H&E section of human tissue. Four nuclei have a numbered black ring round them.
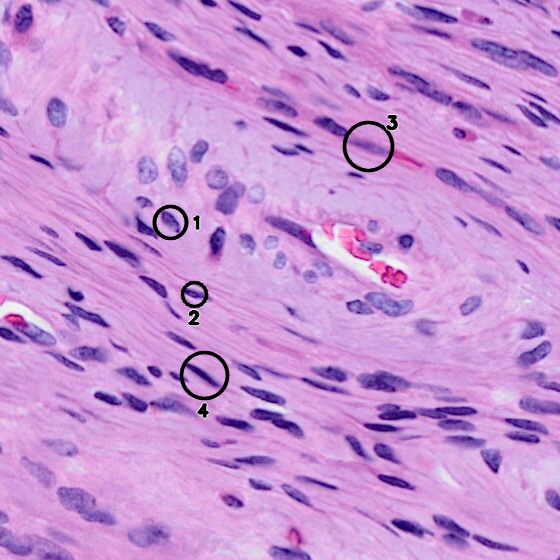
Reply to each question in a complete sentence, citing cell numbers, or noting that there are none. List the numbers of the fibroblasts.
Regarding the numbered cells 1, 2 and 4, these are fibroblasts.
